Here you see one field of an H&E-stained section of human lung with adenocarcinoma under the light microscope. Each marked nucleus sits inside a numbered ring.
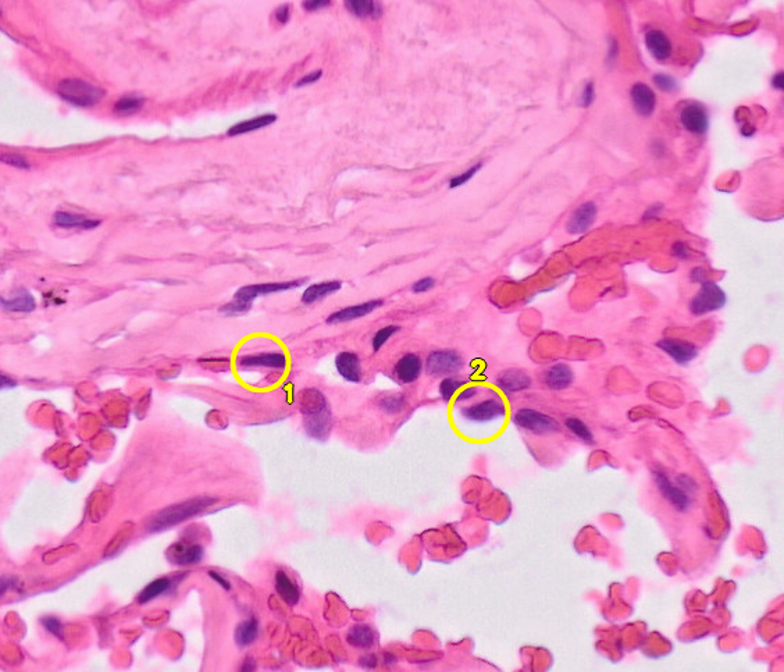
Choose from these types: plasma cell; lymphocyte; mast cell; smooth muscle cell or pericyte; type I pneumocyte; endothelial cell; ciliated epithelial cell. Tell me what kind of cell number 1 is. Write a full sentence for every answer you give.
That cell with number 1 is an endothelial cell.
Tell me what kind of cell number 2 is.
The nucleus marked 2 is the nucleus of a type I pneumocyte.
